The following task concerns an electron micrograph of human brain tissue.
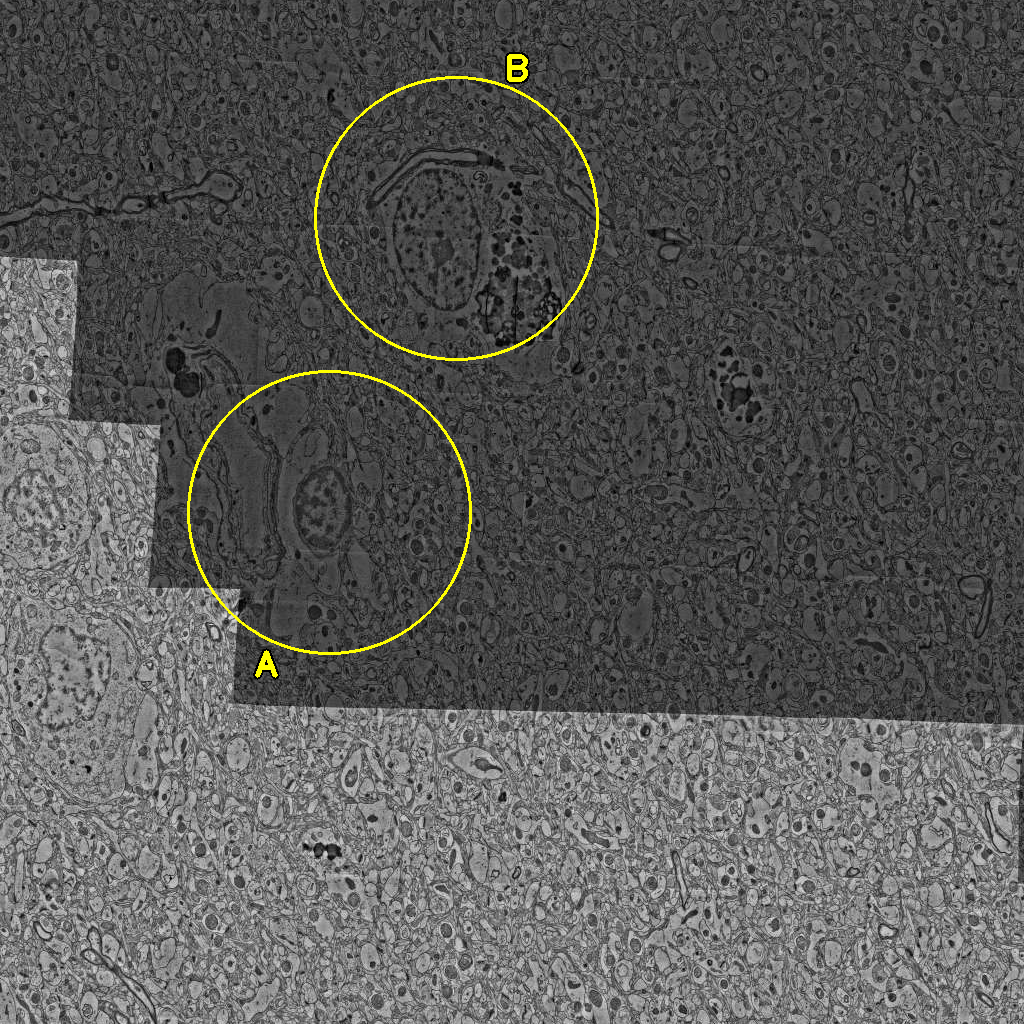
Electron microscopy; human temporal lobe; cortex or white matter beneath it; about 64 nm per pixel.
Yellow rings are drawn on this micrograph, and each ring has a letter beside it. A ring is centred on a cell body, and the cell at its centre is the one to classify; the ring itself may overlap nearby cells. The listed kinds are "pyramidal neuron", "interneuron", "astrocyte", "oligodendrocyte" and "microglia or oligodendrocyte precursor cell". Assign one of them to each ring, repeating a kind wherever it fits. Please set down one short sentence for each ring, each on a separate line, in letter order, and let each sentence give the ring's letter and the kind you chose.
The cell ringed as A is an oligodendrocyte.
The cell ringed as B is an astrocyte.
